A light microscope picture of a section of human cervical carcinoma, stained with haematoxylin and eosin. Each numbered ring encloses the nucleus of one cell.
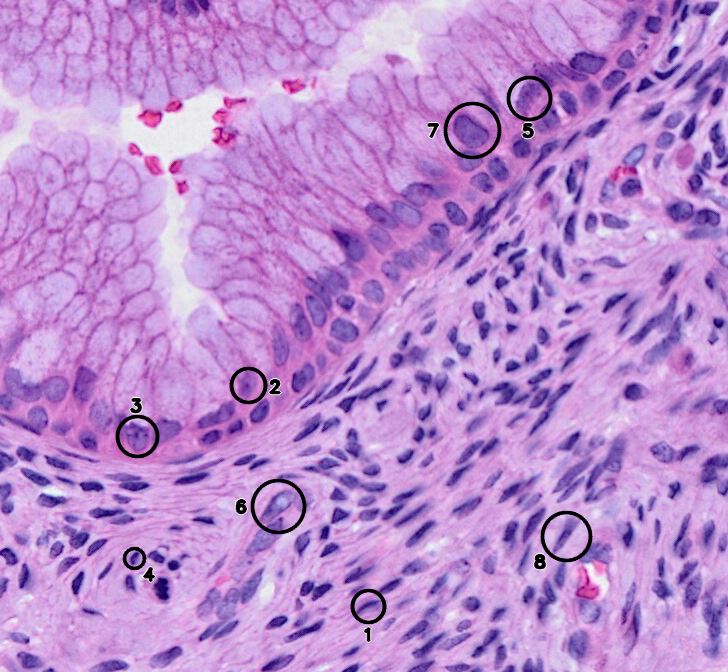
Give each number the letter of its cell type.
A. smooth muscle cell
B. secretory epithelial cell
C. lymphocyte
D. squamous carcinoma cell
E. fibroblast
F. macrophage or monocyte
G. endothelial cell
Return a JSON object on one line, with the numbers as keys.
{"1": "E", "2": "B", "3": "B", "4": "E", "5": "B", "6": "G", "7": "B", "8": "E"}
